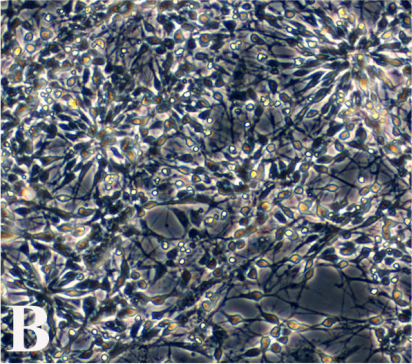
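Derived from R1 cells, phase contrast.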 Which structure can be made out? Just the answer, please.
Neural rosettes.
